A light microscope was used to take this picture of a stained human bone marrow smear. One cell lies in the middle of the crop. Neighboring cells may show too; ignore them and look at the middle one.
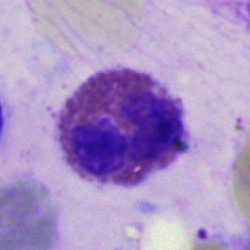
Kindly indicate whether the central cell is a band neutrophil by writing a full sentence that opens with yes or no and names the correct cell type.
No, it is an eosinophil, not a band neutrophil, that lies at the centre of the crop.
